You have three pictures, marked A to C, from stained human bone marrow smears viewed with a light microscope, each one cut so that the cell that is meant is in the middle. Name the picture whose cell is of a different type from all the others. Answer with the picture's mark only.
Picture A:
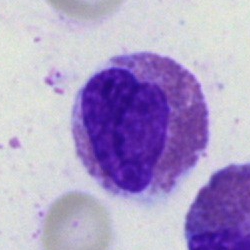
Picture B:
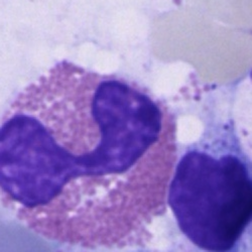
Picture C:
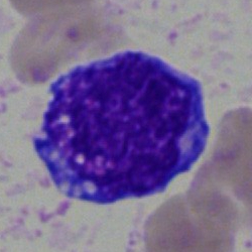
C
